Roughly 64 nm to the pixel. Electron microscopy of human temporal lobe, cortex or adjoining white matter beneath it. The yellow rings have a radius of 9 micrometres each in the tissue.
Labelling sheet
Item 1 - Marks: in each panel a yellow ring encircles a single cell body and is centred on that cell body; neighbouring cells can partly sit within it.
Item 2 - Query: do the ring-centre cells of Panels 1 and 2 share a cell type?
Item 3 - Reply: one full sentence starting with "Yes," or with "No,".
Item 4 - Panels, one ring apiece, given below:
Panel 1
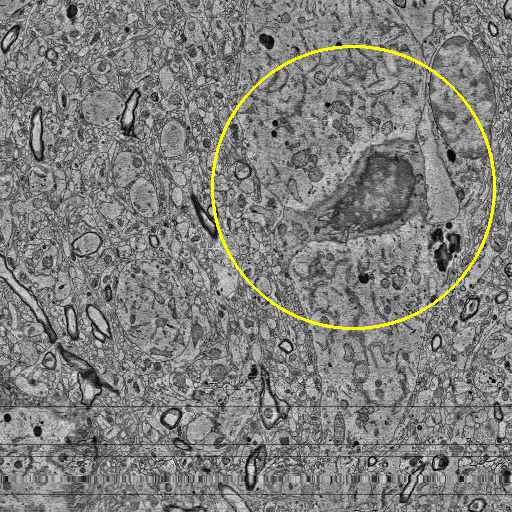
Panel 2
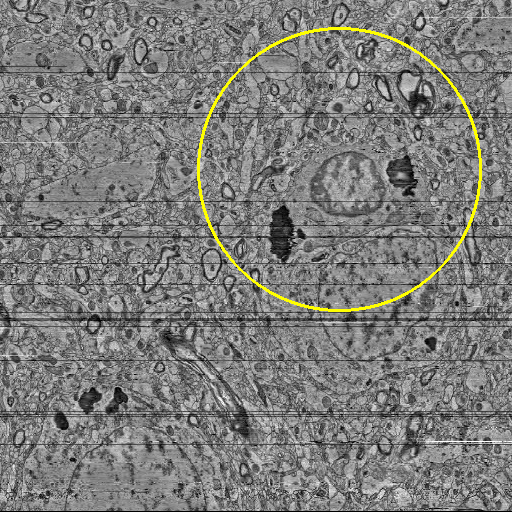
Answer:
Yes, Panel 1 and Panel 2 show one cell type at the centres of their rings.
